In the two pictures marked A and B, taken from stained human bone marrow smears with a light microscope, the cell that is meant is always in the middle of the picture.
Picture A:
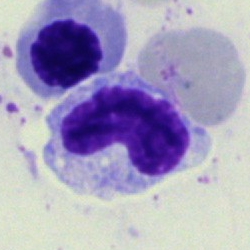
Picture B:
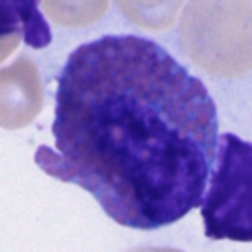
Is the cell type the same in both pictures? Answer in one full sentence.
No, picture A shows a band neutrophil and picture B shows an eosinophil.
